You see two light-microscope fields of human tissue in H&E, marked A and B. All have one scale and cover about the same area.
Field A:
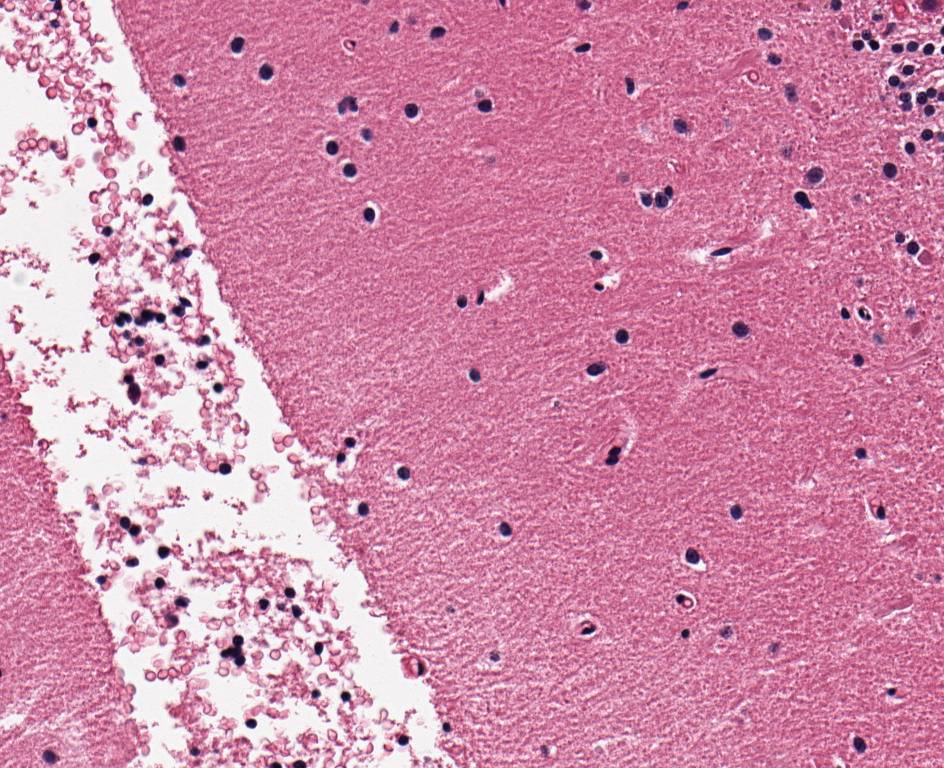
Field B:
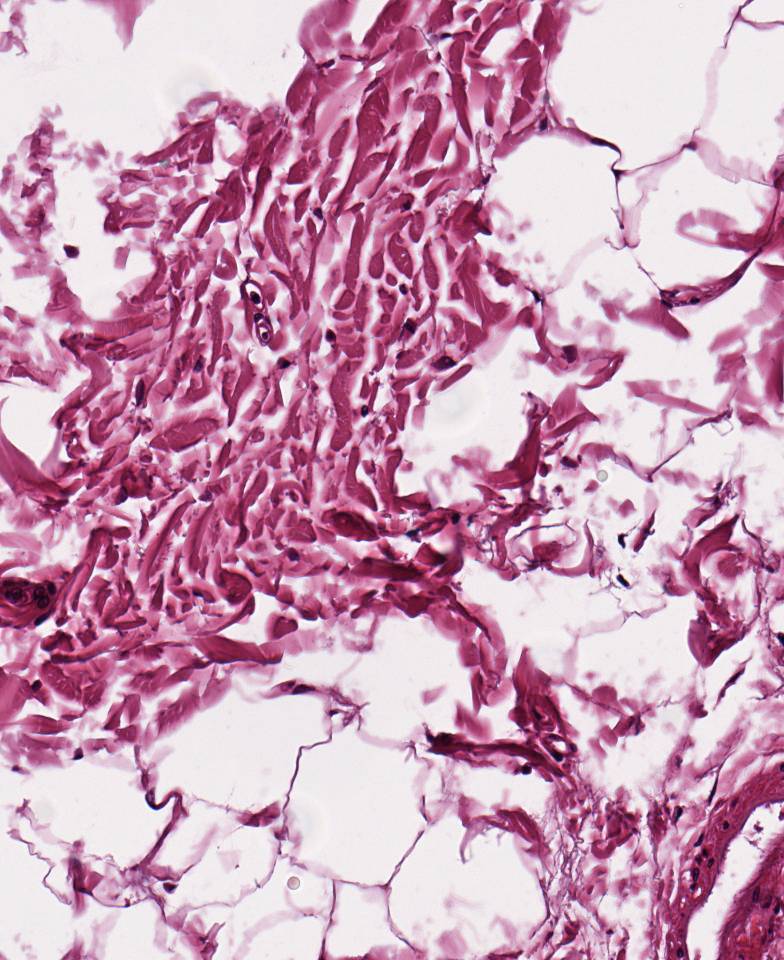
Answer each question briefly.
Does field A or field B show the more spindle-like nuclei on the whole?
B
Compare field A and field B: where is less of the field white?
A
